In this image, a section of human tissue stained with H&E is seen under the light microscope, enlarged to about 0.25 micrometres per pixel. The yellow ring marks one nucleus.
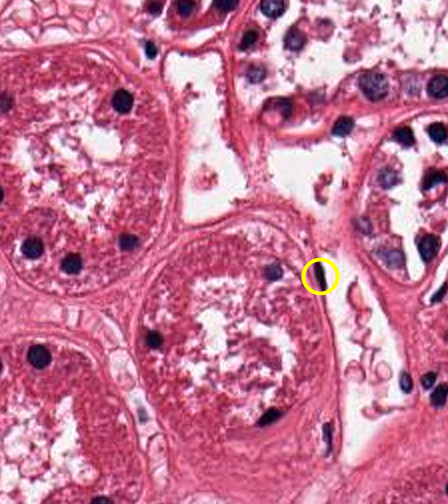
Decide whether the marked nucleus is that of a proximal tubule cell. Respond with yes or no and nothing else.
no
